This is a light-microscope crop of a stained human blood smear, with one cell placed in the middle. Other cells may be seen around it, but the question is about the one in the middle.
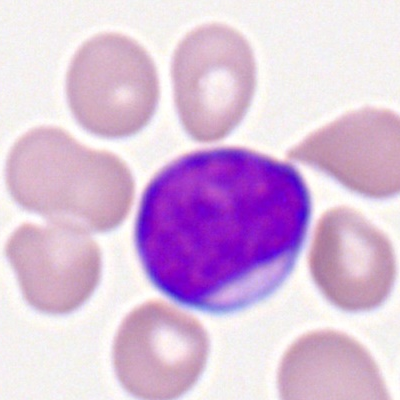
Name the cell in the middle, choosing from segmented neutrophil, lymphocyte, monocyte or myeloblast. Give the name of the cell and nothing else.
myeloblast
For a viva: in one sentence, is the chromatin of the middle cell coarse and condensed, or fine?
Chromatin in the nucleus here is coarsely clumped.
